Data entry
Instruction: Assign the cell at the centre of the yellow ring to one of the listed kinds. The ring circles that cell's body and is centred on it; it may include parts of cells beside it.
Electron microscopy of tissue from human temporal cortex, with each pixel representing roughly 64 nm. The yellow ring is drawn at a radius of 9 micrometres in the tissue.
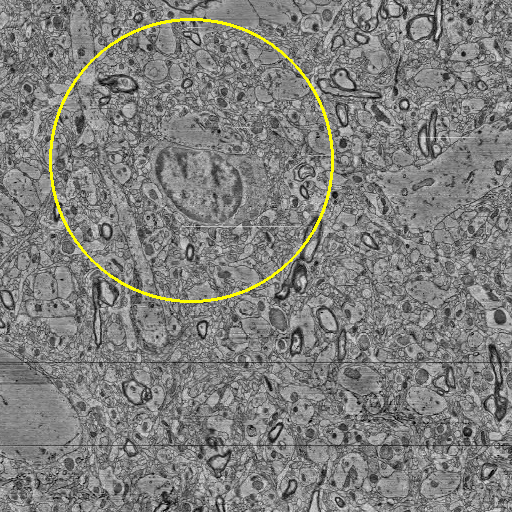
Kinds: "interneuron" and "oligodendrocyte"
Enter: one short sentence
The centre of the ring falls on an oligodendrocyte.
